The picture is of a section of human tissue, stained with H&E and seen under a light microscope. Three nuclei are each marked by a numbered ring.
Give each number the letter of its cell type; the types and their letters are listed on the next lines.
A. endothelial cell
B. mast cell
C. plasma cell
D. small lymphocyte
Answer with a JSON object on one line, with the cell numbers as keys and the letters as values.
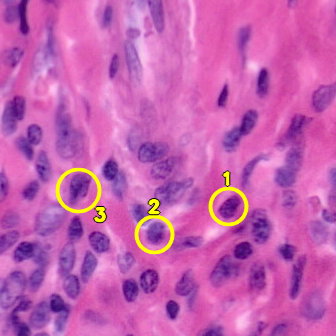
{"1": "B", "2": "B", "3": "A"}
